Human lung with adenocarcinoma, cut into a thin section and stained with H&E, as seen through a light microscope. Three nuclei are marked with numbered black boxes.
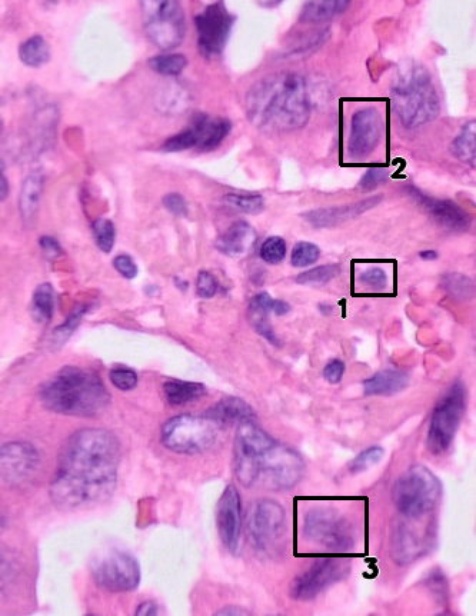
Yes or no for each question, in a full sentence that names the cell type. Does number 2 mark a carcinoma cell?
Yes, regarding cell number 2, it is a carcinoma cell.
